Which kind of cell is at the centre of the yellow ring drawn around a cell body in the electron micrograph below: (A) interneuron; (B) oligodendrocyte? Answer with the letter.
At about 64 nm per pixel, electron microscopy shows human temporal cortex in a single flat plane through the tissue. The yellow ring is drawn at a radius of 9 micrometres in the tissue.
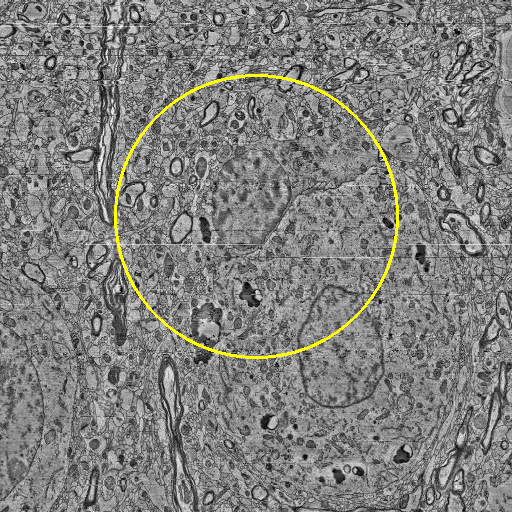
B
